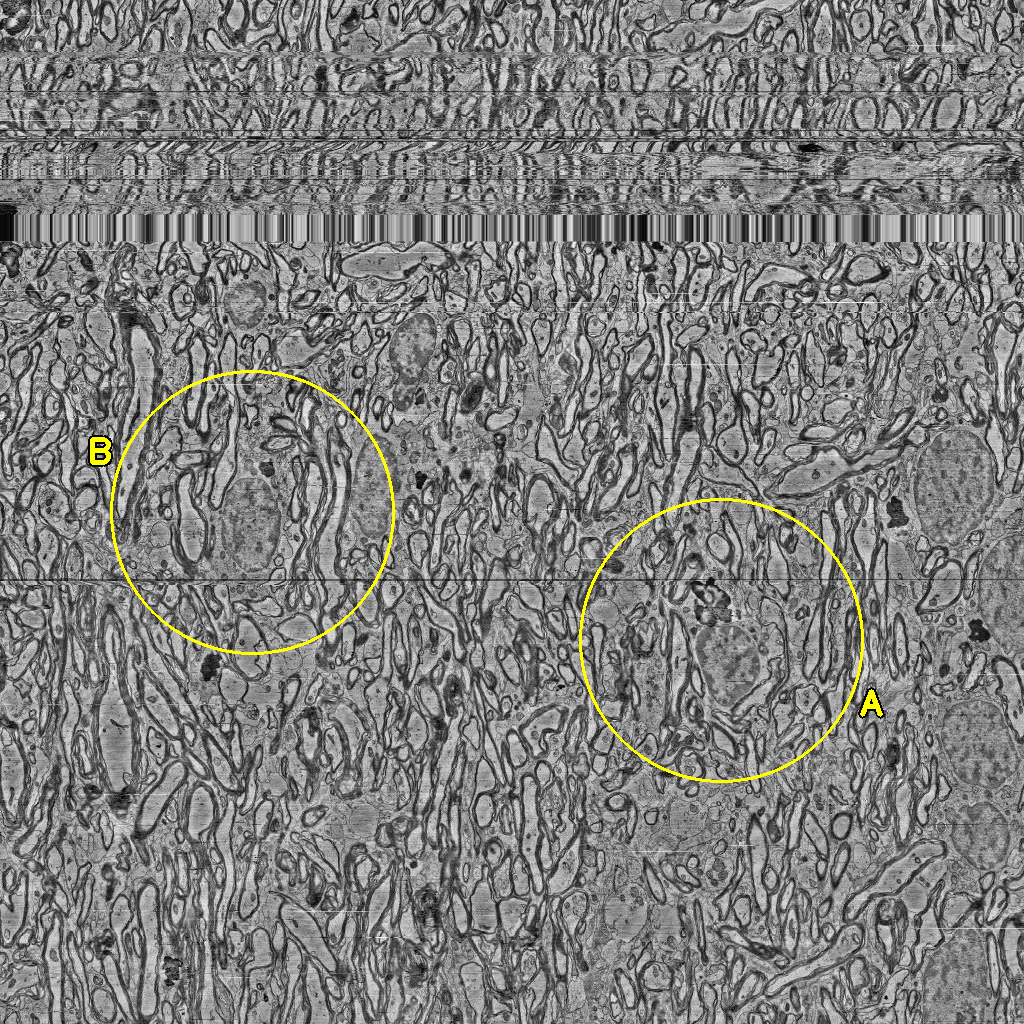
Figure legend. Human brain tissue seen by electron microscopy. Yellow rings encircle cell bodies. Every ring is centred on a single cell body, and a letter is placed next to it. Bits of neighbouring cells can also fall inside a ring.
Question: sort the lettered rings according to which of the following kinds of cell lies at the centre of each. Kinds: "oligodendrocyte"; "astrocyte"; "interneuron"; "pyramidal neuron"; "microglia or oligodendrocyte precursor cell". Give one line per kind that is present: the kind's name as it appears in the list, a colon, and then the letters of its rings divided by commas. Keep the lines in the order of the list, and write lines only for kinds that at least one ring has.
oligodendrocyte: B
microglia or oligodendrocyte precursor cell: A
